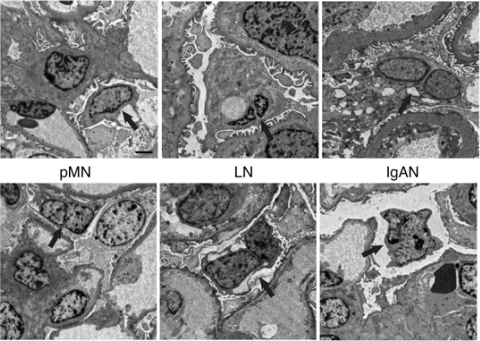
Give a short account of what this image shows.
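Transmission electron micrographs of glomeruli show podocytes marked by arrows, lying on the outer side of capillary walls beside open capillary lumens. The marked cells have large nuclei with dark, clumped chromatin at the nuclear edge, and in several images more than one nucleus lies within a single cell body.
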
